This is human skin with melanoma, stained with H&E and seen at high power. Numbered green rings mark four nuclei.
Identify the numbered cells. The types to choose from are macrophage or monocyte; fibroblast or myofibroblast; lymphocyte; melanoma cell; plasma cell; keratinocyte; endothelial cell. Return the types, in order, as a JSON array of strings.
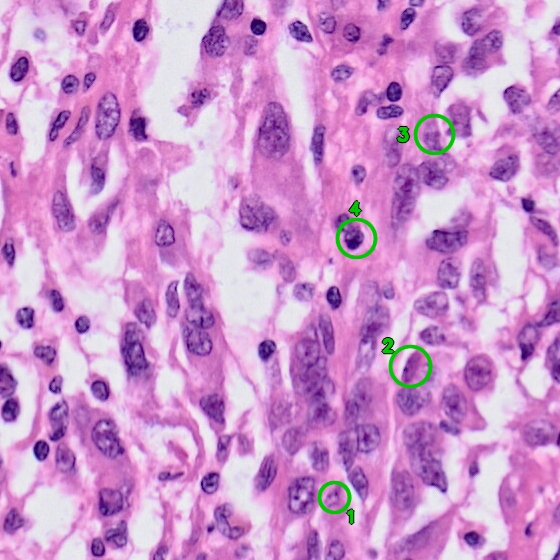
["melanoma cell", "melanoma cell", "melanoma cell", "lymphocyte"]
